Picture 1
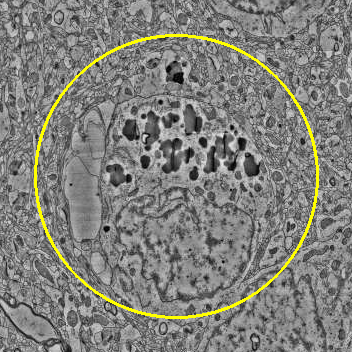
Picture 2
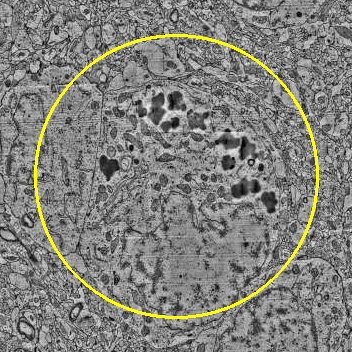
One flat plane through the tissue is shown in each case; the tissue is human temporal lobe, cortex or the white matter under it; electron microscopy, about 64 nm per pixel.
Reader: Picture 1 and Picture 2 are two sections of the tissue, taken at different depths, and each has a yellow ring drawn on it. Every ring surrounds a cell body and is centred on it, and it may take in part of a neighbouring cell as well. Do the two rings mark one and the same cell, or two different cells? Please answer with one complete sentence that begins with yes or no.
Yes, one cell is ringed in yellow twice over.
